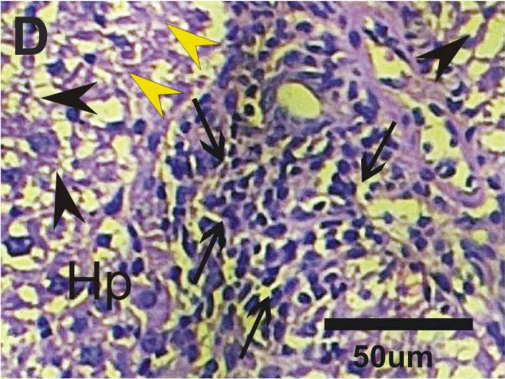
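This is liver in which the hepatocytes show marked cytoplasmic vacuolization, with pale, cleared cytoplasm in many cells. Dense clusters of small inflammatory cells with dark, round nuclei crowd through the tissue, particularly around a small vessel. The regular cords of hepatocytes are disrupted, and in places cell outlines are lost, marking areas of degeneration and necrosis. Sinusoidal spaces appear irregular compared with normal liver.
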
